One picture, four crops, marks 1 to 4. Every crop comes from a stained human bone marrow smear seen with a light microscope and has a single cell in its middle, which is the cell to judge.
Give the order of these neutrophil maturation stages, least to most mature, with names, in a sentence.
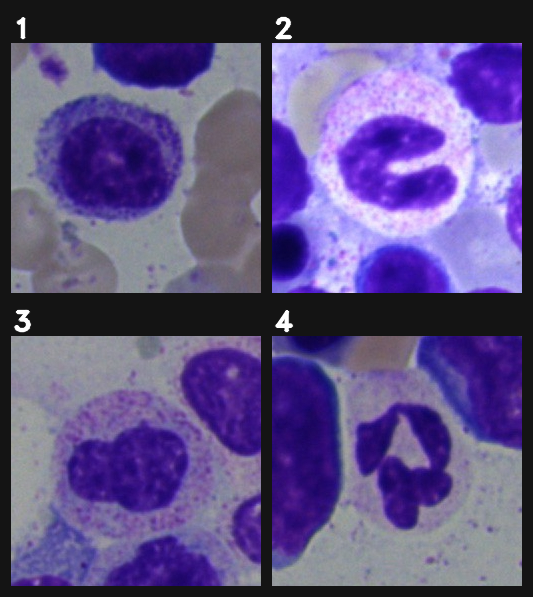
Least mature first and most mature last, the order is crop 1 (a myelocyte), crop 3 (a metamyelocyte), crop 2 (a band neutrophil) and crop 4 (a segmented neutrophil).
